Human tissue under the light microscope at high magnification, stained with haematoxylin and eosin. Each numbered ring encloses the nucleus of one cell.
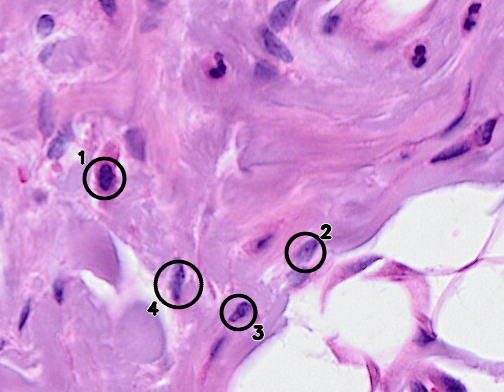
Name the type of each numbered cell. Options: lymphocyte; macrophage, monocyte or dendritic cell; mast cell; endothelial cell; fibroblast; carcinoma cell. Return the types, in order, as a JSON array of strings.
["mast cell", "fibroblast", "fibroblast", "fibroblast"]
